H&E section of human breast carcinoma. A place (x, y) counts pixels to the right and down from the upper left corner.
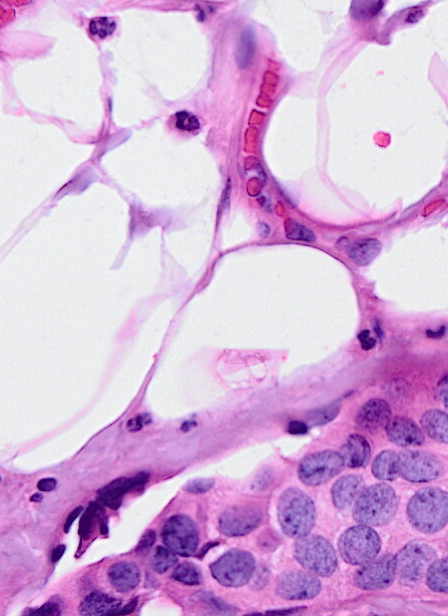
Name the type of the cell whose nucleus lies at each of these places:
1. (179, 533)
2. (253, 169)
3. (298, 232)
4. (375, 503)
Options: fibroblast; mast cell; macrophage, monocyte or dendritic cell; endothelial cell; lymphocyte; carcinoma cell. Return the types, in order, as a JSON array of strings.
["carcinoma cell", "endothelial cell", "endothelial cell", "carcinoma cell"]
